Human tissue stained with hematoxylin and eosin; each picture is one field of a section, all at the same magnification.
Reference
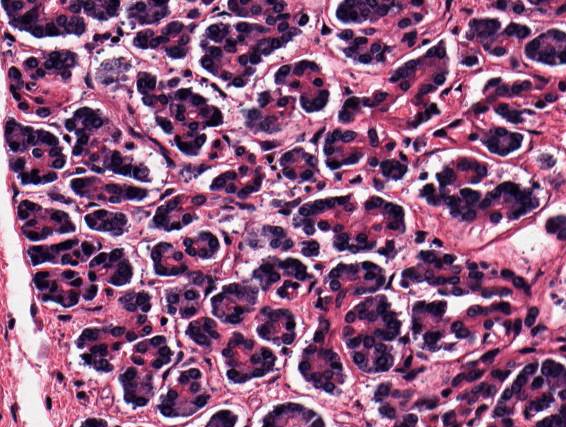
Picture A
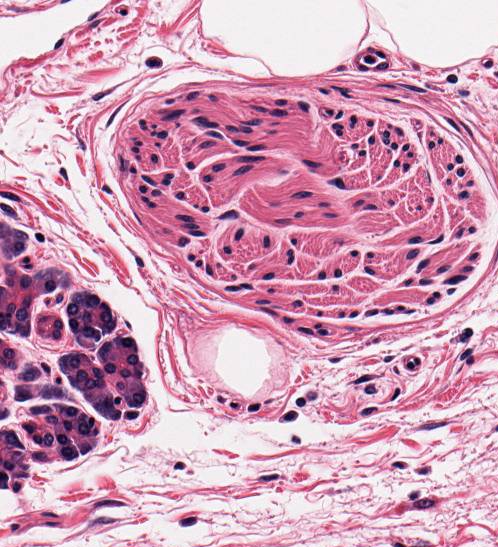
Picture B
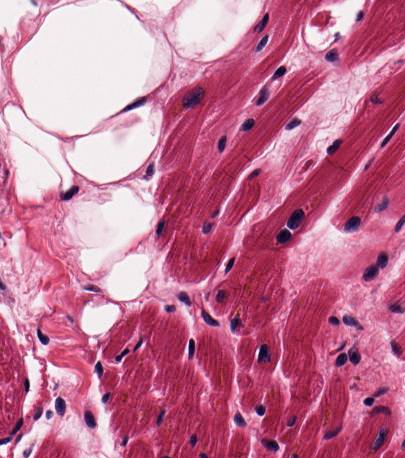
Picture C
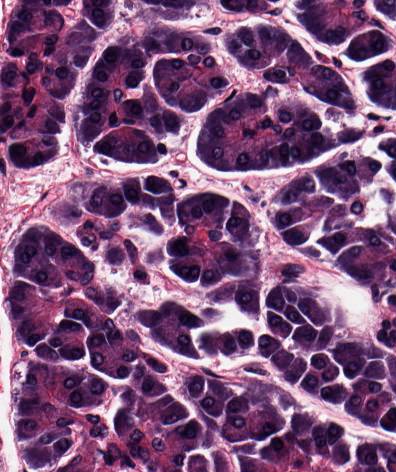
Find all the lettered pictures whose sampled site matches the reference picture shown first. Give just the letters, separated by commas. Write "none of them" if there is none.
A, C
